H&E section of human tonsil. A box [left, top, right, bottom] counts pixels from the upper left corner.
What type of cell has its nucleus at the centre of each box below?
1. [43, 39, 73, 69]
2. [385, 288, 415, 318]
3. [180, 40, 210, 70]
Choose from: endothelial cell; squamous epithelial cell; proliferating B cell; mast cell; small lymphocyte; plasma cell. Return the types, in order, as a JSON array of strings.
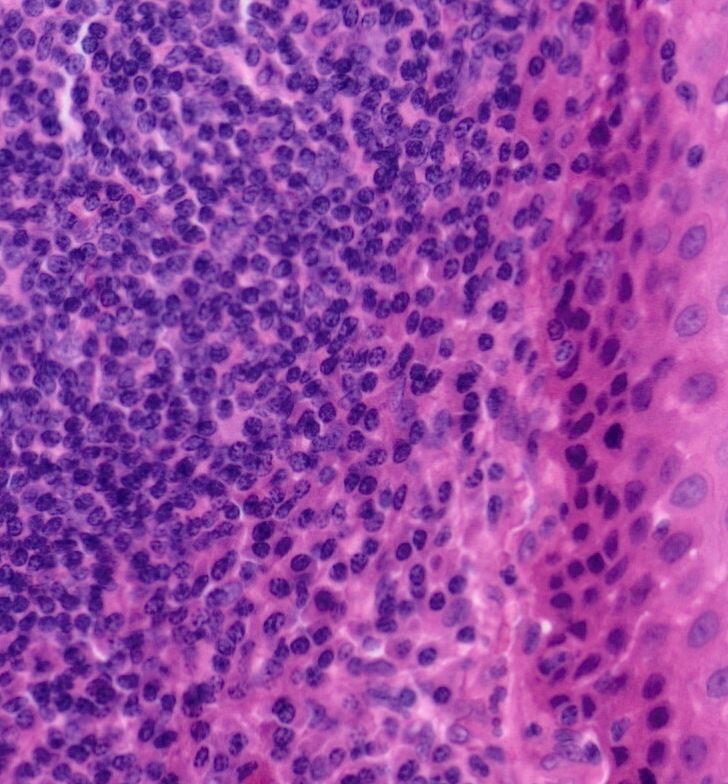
["small lymphocyte", "plasma cell", "small lymphocyte"]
